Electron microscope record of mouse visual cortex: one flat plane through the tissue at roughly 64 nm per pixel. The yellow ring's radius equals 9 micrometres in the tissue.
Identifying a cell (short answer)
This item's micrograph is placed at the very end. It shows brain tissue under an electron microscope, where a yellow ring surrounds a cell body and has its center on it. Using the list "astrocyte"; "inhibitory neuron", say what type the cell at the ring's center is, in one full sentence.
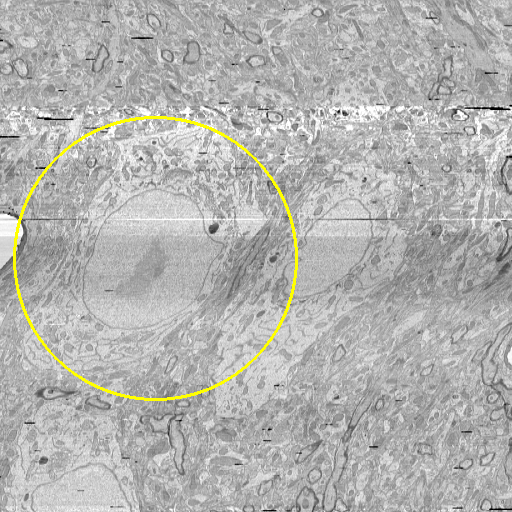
This picture shows an inhibitory neuron at the center of the yellow ring drawn on it.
